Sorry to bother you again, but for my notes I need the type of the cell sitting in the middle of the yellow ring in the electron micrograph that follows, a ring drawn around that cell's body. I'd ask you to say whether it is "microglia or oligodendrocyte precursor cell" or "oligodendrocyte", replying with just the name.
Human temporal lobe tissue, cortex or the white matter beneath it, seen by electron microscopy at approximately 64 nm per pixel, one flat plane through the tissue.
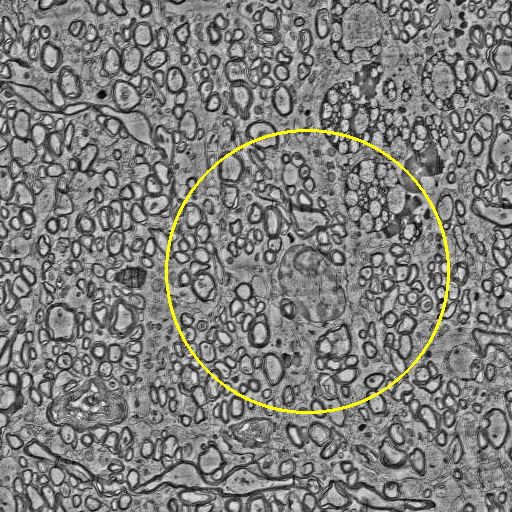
microglia or oligodendrocyte precursor cell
